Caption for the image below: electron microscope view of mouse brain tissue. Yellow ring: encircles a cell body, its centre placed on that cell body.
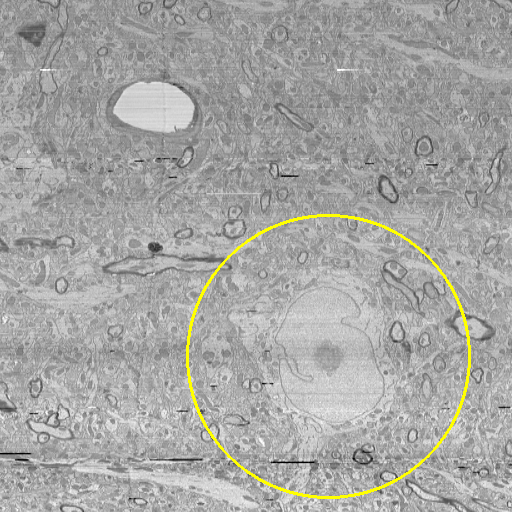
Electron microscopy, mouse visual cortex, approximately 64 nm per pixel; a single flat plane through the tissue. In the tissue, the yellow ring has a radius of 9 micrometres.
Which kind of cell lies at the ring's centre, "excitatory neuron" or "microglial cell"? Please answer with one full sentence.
The picture shows an excitatory neuron at the centre of the yellow ring.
